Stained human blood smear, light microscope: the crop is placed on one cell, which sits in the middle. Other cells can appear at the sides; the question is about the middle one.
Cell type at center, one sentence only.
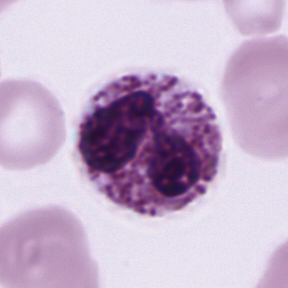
Within this crop, an eosinophil occupies the central position.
